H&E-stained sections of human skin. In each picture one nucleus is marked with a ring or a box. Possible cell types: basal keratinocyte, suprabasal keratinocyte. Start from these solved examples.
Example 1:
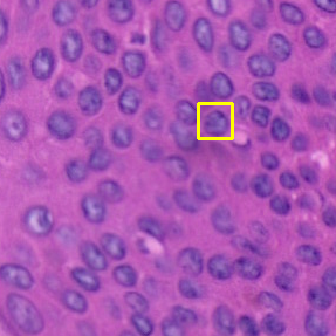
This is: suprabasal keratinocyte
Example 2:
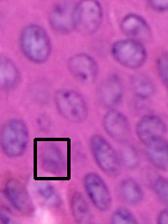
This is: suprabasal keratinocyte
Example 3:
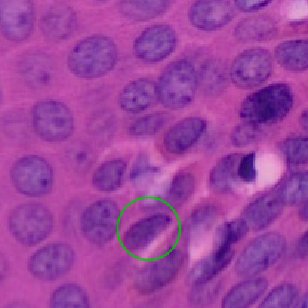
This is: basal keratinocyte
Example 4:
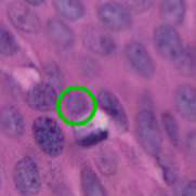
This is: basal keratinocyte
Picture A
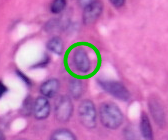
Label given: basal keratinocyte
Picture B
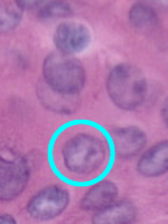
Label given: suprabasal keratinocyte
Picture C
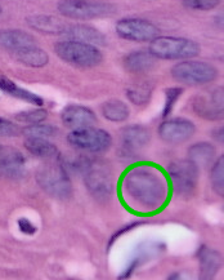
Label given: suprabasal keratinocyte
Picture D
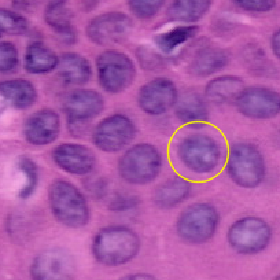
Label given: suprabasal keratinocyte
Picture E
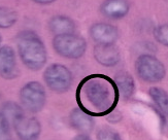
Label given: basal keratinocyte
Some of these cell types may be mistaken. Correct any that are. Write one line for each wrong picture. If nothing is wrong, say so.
C is labelled suprabasal keratinocyte; correct label: basal keratinocyte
